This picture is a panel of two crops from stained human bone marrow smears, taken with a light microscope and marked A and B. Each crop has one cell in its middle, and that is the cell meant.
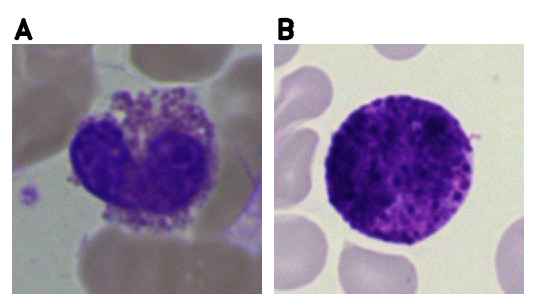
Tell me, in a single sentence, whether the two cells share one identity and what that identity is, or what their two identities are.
No, in crop B the central cell is a basophil, and in crop A it is an eosinophil.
